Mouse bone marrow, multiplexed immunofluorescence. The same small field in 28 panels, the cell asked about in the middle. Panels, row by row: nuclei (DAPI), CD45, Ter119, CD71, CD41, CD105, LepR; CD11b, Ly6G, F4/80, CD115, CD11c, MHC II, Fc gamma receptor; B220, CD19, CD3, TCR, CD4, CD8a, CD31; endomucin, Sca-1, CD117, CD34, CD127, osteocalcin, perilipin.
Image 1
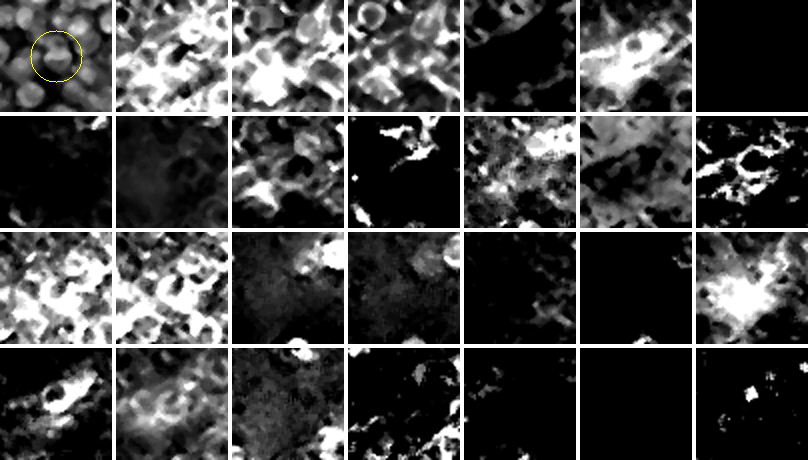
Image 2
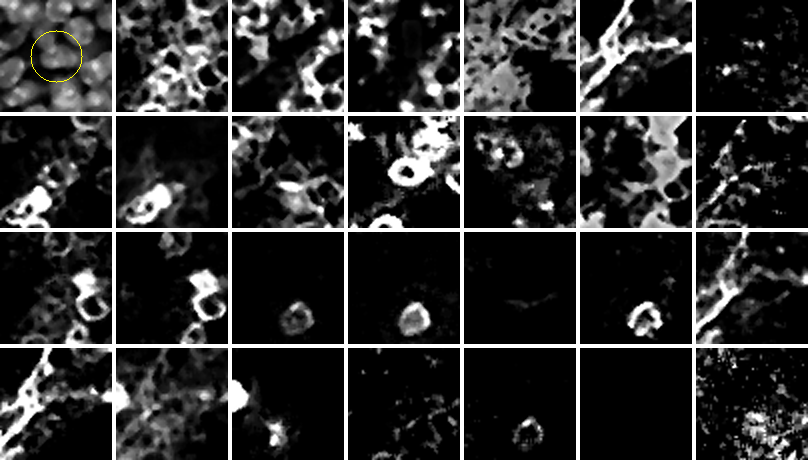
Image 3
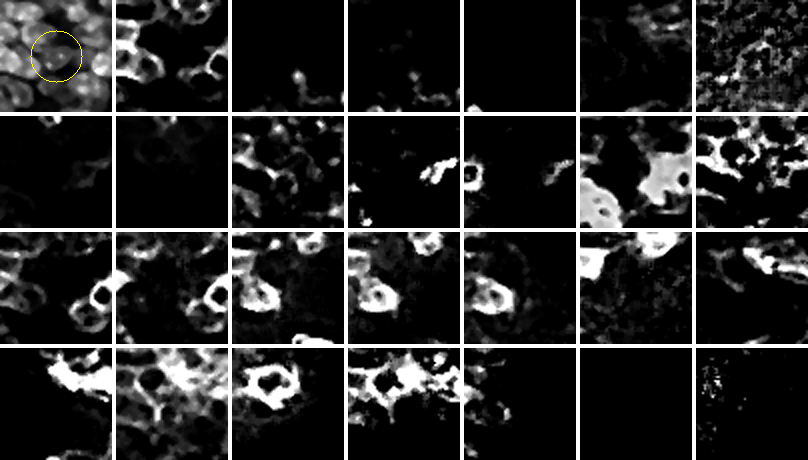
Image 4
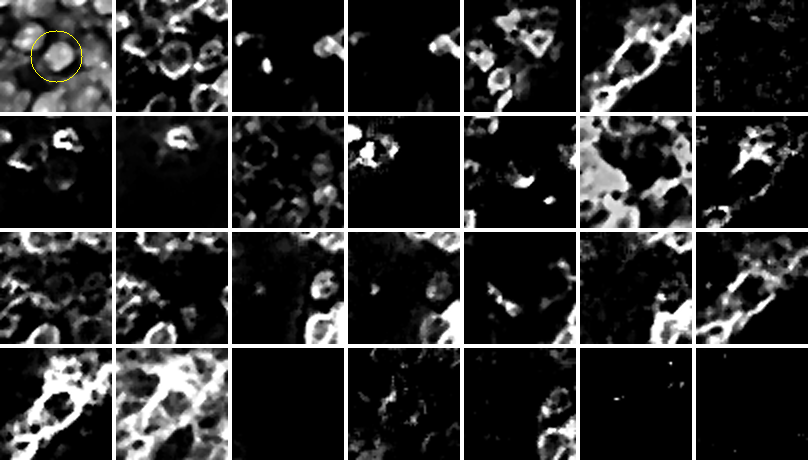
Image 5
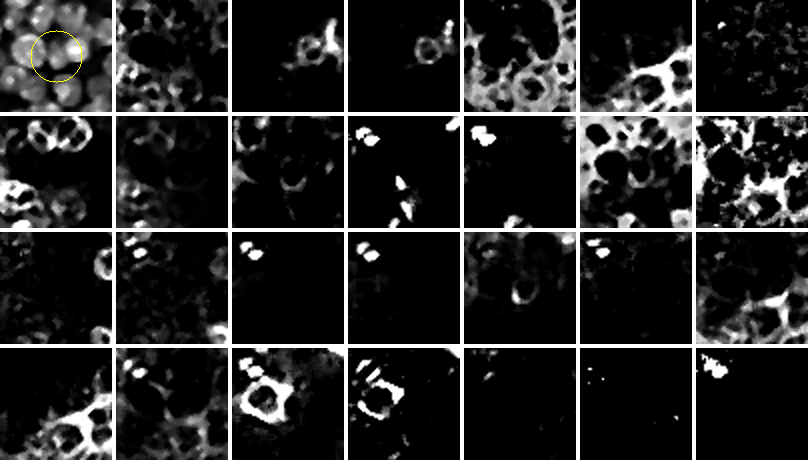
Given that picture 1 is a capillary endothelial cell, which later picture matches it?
4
